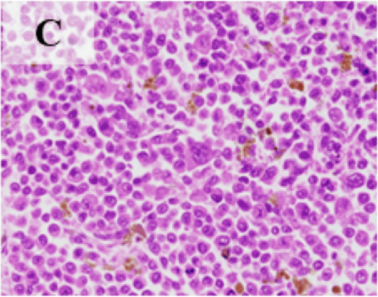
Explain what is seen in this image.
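This is a tumor made of a solid sheet of atypical cells, packed closely together with no glands or other orderly arrangement between them. The nuclei are round to oval and vary noticeably in size and shape; several show a distinct nucleolus, and the chromatin stains a deep purple. Each cell has a modest rim of pink-purple cytoplasm.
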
